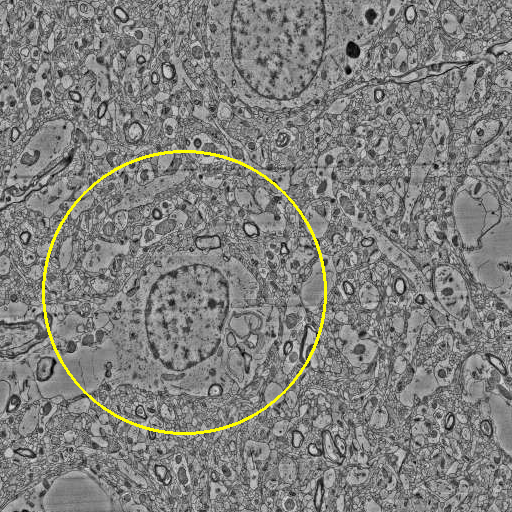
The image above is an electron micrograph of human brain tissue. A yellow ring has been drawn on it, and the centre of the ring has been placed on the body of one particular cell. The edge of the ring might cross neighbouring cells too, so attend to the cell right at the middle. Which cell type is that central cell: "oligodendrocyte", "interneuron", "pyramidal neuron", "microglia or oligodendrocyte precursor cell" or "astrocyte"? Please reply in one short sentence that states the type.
The central cell in the ring is a microglial cell or oligodendrocyte precursor cell.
